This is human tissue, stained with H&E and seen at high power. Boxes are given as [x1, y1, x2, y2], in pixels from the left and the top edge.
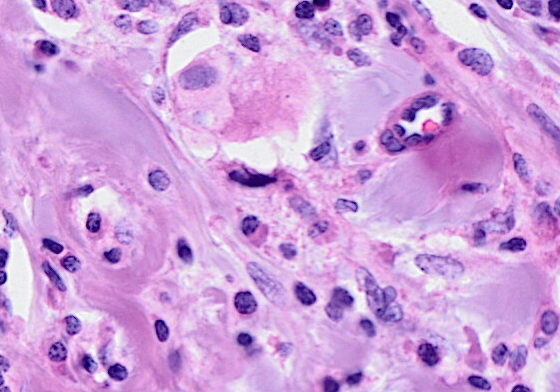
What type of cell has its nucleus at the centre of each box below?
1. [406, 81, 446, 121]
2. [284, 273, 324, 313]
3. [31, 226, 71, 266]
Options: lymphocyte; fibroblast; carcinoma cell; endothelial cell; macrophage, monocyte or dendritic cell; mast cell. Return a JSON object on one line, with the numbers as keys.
{"1": "endothelial cell", "2": "lymphocyte", "3": "lymphocyte"}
